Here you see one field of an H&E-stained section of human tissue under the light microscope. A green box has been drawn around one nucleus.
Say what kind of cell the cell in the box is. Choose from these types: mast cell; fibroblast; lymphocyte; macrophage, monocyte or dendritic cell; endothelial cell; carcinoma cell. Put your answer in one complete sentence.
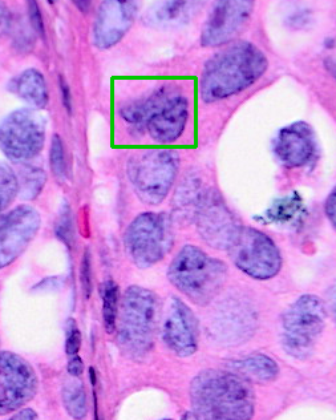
In cell-type terms, the cell in the box is a carcinoma cell.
